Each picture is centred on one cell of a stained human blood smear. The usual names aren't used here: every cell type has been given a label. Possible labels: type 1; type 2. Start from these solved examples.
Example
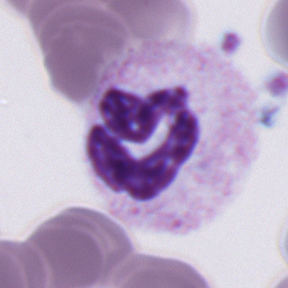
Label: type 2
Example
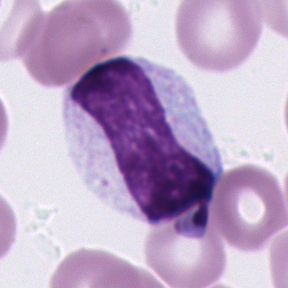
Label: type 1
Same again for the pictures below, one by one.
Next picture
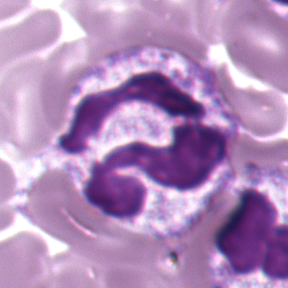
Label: type 2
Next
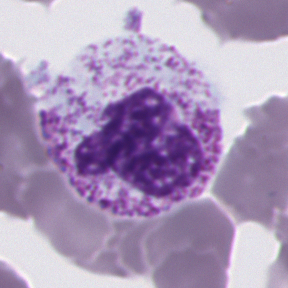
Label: type 2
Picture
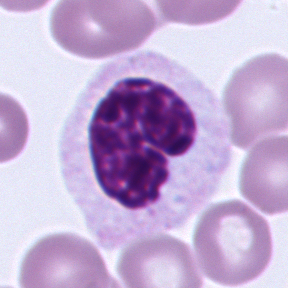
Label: type 1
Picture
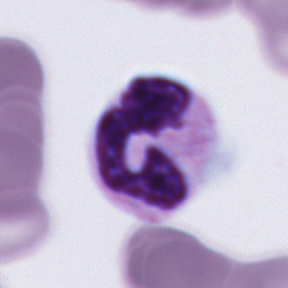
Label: type 2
